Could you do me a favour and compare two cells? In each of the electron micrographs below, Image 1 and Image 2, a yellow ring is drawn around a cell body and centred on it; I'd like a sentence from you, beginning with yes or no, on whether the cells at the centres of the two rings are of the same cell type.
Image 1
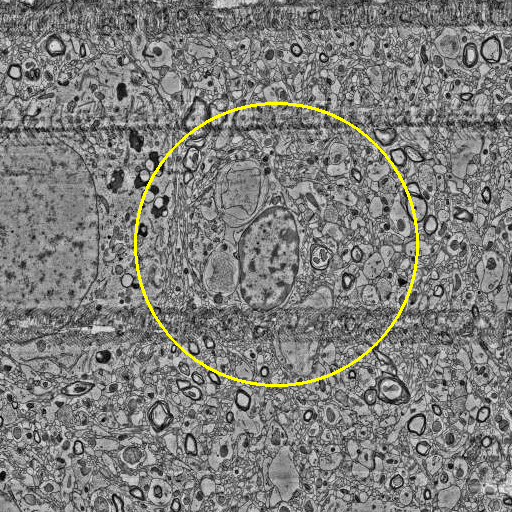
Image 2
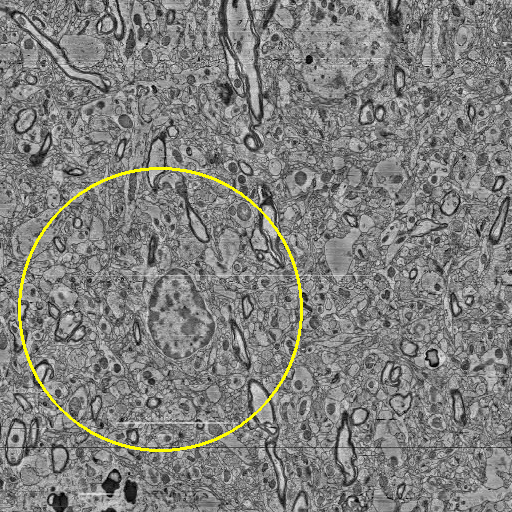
Yes, the two cells are of the same cell type.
